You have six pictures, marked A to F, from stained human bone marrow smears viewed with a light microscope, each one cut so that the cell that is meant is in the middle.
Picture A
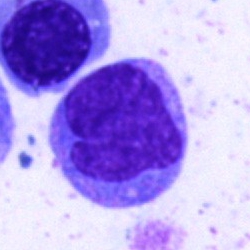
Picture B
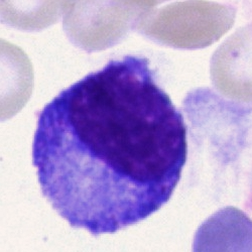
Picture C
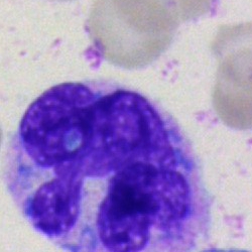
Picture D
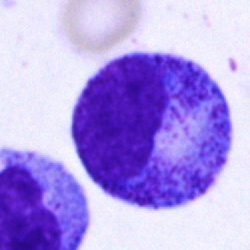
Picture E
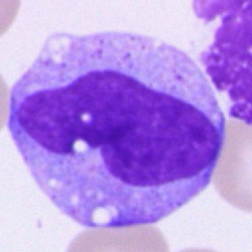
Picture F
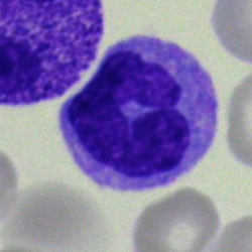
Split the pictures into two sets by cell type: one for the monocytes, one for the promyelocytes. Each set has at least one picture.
A: monocyte
B: promyelocyte
C: monocyte
D: promyelocyte
E: monocyte
F: monocyte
